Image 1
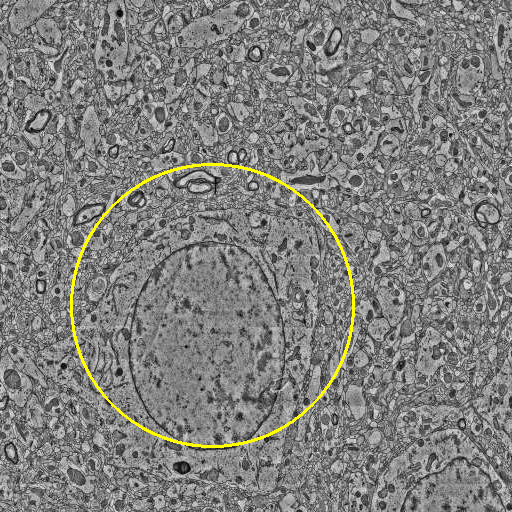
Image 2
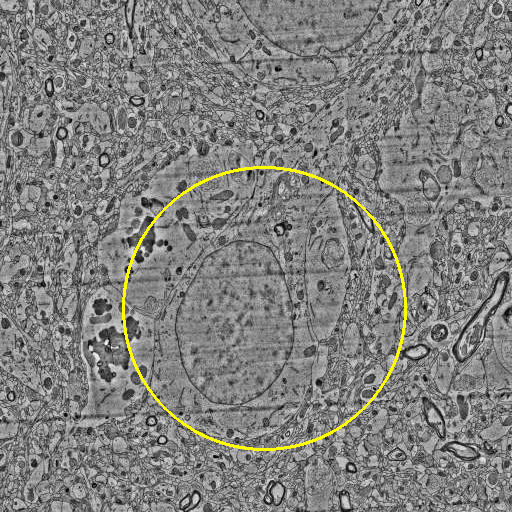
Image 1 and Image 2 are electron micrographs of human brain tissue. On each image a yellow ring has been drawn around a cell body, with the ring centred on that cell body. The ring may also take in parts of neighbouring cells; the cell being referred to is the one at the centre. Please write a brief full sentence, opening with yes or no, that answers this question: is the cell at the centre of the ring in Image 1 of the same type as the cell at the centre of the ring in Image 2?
Yes, both cells are of the same type.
